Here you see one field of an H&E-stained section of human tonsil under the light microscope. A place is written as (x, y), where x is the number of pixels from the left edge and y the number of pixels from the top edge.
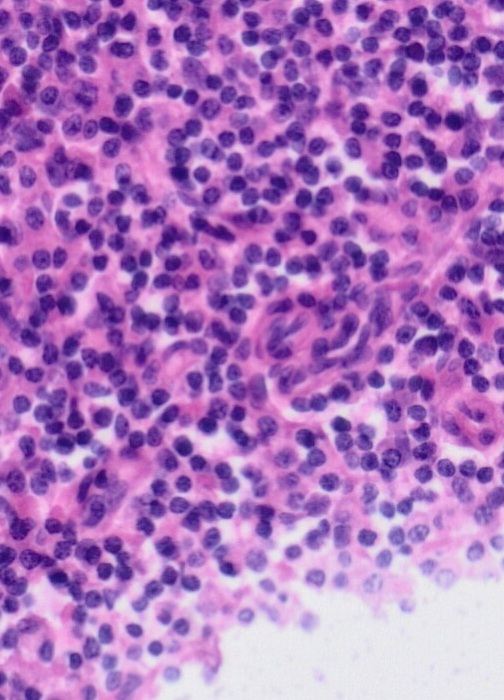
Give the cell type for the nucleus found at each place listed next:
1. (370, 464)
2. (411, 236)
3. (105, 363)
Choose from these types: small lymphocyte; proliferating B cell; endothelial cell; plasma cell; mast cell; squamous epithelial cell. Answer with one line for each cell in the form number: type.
1: small lymphocyte
2: endothelial cell
3: small lymphocyte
